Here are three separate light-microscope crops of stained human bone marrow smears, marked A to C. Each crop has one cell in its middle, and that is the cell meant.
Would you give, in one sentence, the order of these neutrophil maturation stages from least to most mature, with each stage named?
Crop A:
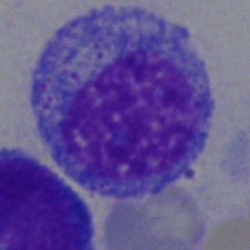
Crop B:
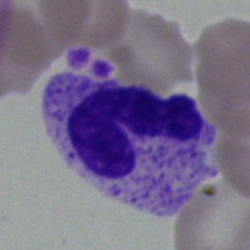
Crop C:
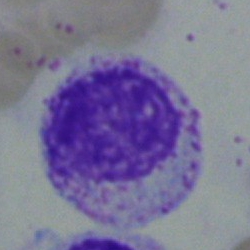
Least mature first and most mature last, the sequence is crop A (a promyelocyte), crop C (a myelocyte) and crop B (a band neutrophil).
